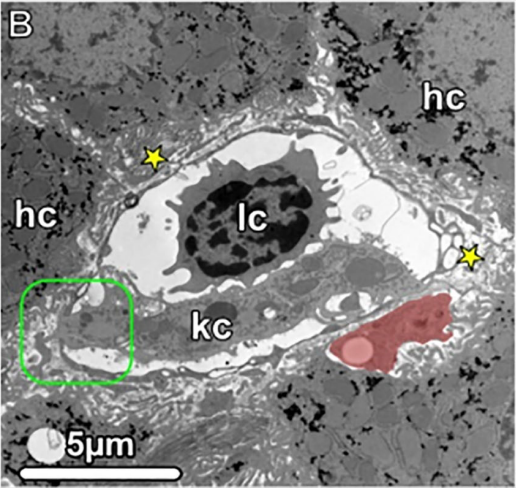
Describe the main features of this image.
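A liver sinusoid in cross section lies between large hepatocytes whose cytoplasm is packed with dark clumps of granules. The pale lumen holds a lymphocyte with a round nucleus of dense, clumped chromatin and a thin rim of cytoplasm bearing short projections. Along the lower wall lies an elongated Kupffer cell with dark cytoplasm and organelles. Outside the thin lining, the space of Disse is filled with many fine microvilli from the hepatocytes. Below the vessel, tucked in this perisinusoidal space, a small ito cell holds a round pale lipid droplet. A boxed area marks where the Kupffer cell meets the lining.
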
